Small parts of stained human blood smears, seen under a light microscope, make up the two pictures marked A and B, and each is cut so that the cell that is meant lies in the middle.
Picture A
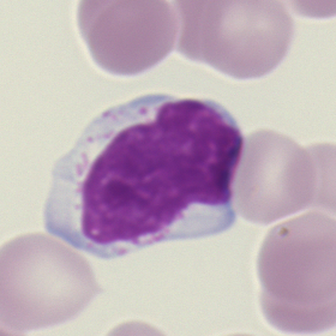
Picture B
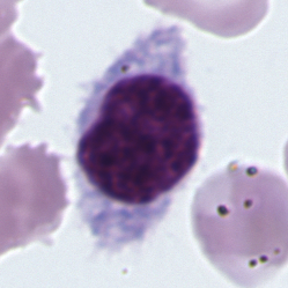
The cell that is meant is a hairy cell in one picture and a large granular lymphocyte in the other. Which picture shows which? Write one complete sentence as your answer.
It is picture A that shows a large granular lymphocyte, and picture B that shows a hairy cell.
